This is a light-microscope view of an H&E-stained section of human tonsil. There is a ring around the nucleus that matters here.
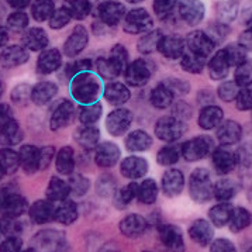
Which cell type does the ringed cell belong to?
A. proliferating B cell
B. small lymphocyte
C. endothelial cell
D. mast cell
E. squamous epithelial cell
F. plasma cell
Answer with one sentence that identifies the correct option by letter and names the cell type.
Option B is the correct one: the ringed cell is a small lymphocyte.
